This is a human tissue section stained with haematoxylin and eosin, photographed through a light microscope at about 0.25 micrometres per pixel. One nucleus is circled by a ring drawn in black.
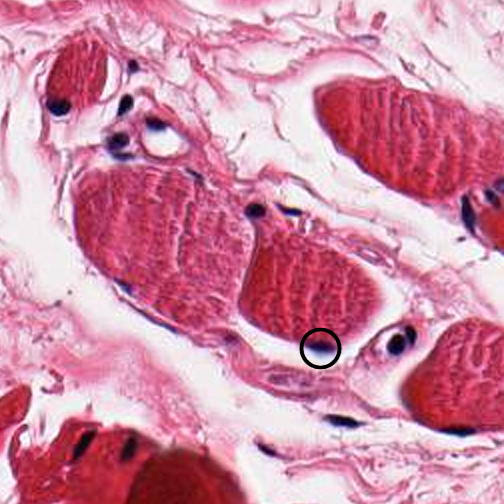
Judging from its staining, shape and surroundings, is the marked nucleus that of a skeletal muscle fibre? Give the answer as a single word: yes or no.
yes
